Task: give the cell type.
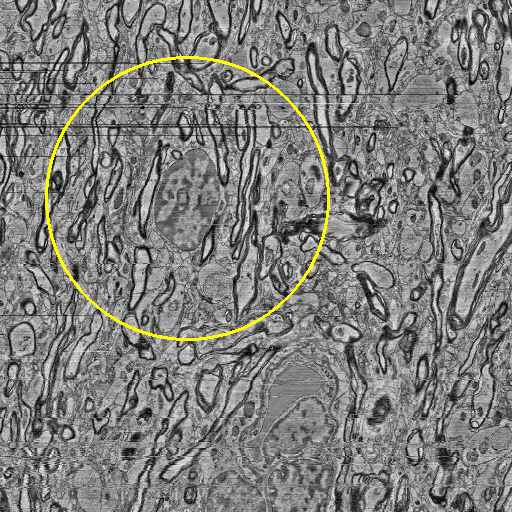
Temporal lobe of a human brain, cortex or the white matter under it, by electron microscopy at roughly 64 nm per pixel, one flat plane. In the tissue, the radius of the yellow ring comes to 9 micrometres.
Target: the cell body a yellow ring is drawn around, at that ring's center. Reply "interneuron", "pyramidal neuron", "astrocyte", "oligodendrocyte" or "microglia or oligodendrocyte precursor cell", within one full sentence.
In this picture, the cell whose body lies at the ring's center is a microglial cell or oligodendrocyte precursor cell.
